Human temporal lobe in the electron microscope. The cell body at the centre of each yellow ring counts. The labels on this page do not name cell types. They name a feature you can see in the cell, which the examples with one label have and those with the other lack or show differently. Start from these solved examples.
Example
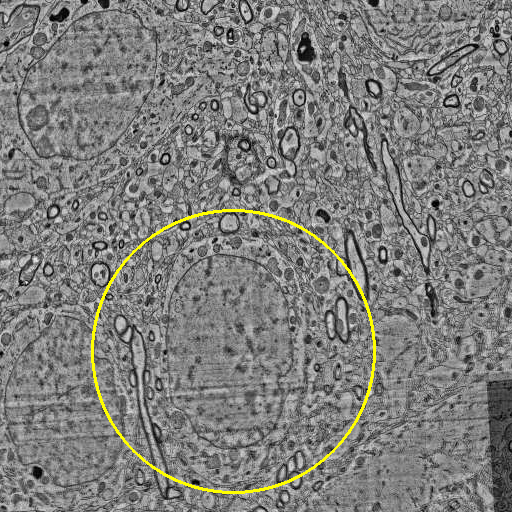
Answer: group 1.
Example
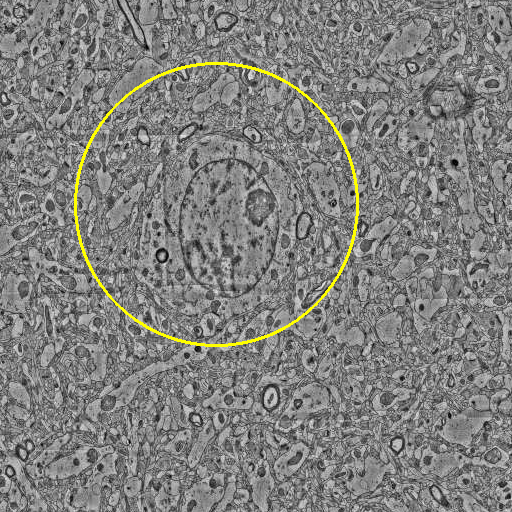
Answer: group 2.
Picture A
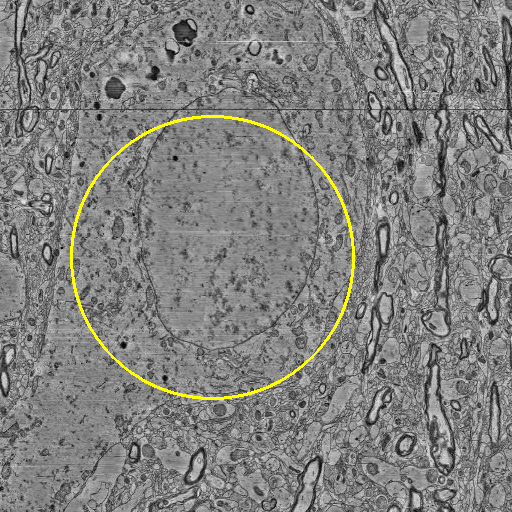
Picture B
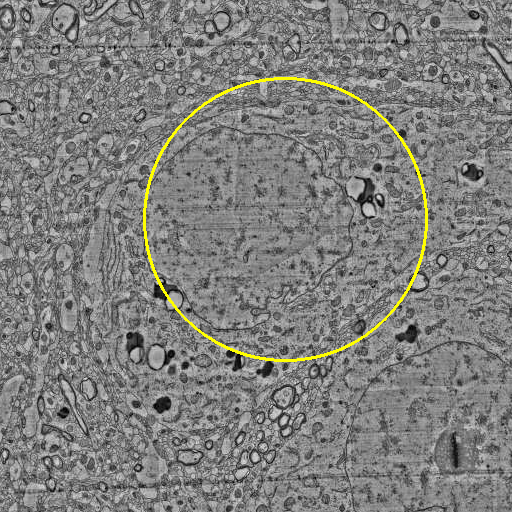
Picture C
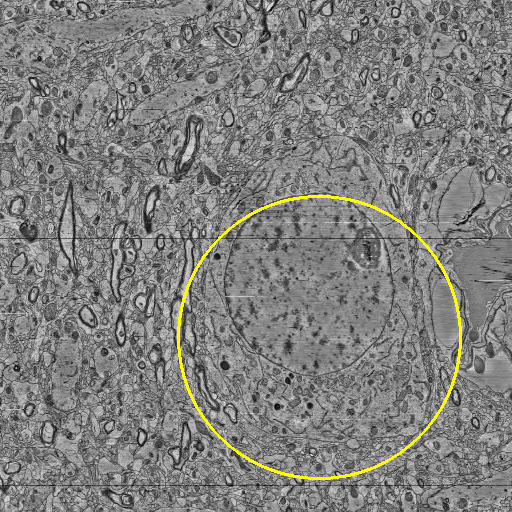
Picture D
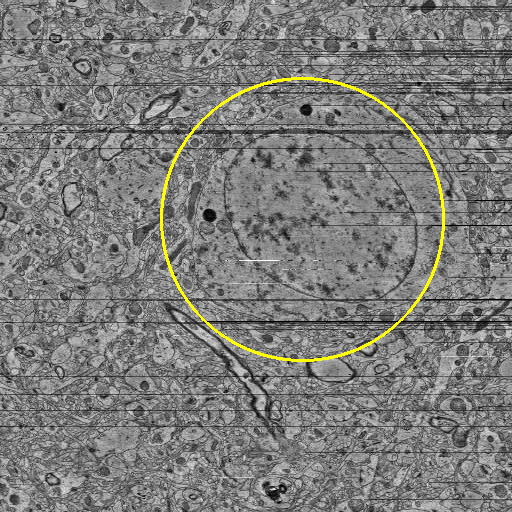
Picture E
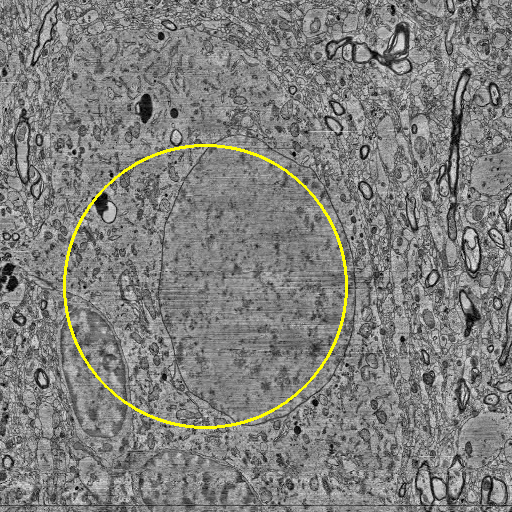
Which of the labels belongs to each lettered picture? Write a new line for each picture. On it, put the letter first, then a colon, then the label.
A: group 1.
B: group 1.
C: group 2.
D: group 1.
E: group 1.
